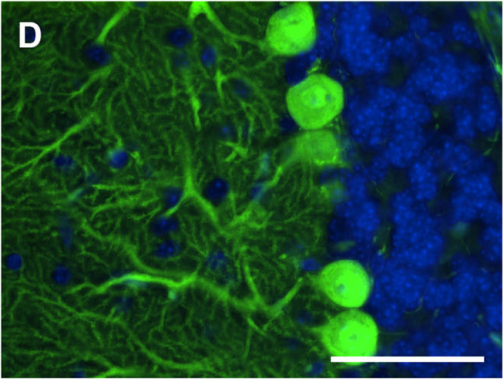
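This fluorescence image of cerebellar cortex shows a row of large Purkinje neurons whose round to pear-shaped cell bodies are filled with green. From these cell bodies green dendrites branch and run into the layer on the left, where scattered small blue nuclei lie among the processes. To the right of the row, a layer is packed with numerous small blue nuclei gathered in clusters.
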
